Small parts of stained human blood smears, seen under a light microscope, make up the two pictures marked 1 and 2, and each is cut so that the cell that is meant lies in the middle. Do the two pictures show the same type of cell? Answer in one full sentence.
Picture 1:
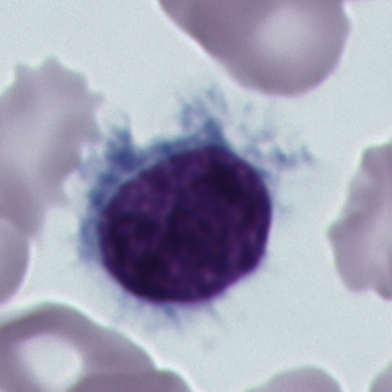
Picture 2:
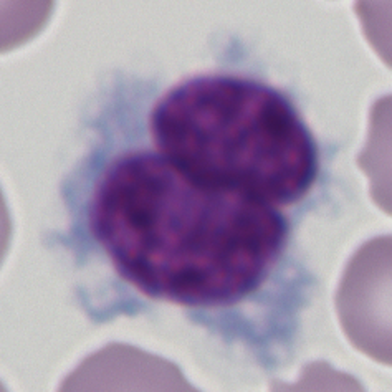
Yes, both cells are hairy cells.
